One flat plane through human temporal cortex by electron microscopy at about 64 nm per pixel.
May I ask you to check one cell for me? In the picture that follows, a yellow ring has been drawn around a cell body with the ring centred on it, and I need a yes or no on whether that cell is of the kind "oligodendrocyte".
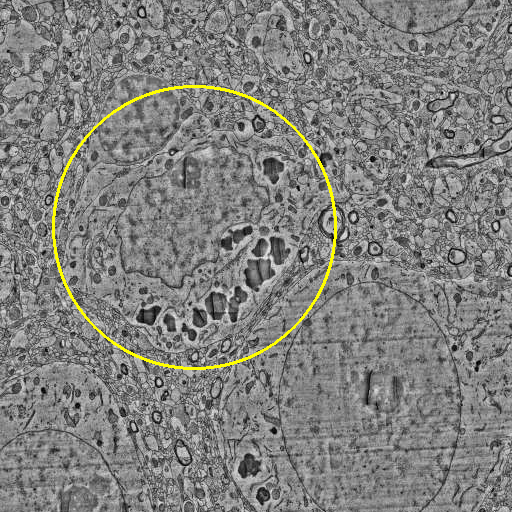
No, it is some other kind of cell.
